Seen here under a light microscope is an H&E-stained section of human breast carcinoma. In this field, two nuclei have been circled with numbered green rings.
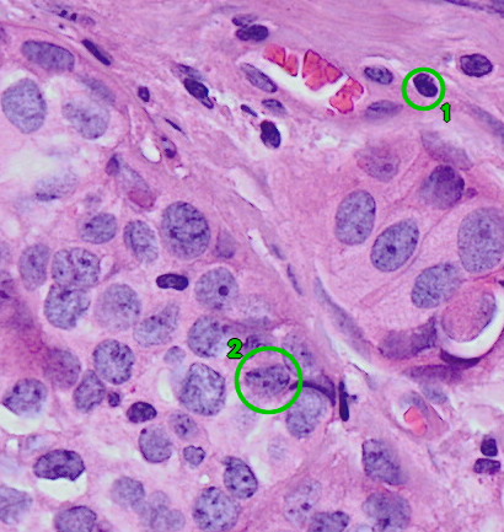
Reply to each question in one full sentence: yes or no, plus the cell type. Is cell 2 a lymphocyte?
No, calling cell 2 a lymphocyte is incorrect; it is a carcinoma cell.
